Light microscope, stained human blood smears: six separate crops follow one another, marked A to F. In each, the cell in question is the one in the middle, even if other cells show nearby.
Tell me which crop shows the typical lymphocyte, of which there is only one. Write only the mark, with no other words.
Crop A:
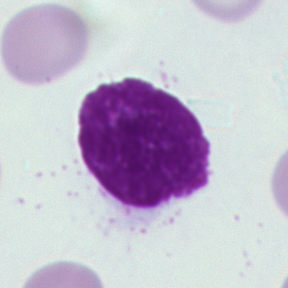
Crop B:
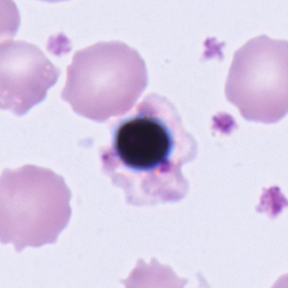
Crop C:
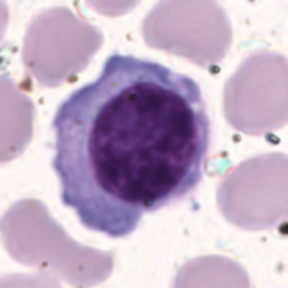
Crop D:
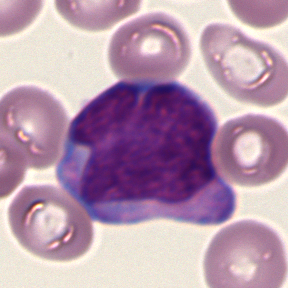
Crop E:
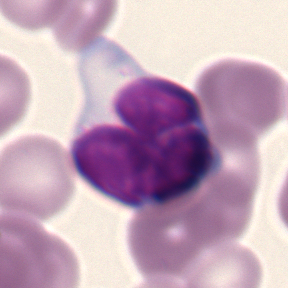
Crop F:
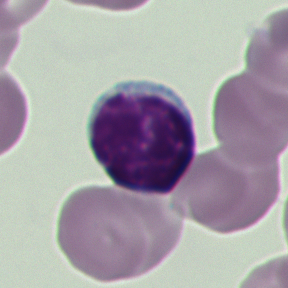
F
